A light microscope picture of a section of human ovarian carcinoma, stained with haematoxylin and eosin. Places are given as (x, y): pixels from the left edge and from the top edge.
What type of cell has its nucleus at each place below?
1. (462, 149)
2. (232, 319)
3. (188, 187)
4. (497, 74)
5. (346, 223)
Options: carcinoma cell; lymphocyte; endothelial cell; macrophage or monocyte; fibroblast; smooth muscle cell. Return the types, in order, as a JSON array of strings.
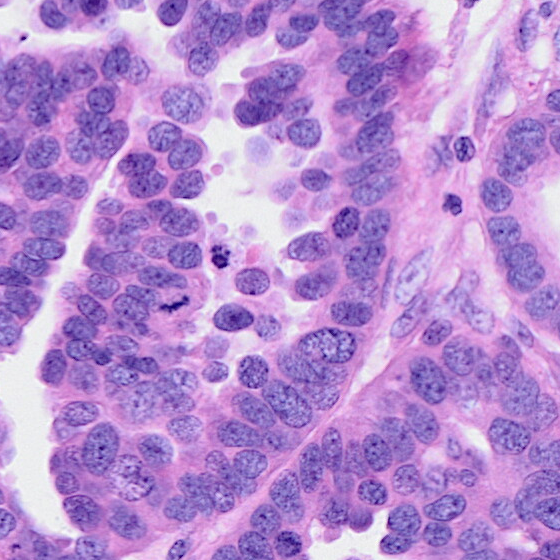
["lymphocyte", "carcinoma cell", "carcinoma cell", "fibroblast", "carcinoma cell"]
